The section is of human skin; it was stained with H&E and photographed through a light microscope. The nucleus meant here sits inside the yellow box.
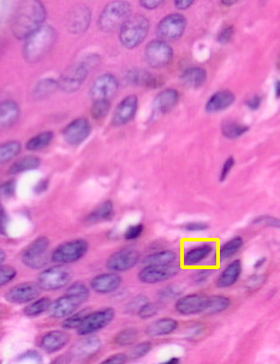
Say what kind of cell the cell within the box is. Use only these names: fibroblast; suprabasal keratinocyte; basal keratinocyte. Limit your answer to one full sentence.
Cell type answer for this item: the cell within the box is a basal keratinocyte.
